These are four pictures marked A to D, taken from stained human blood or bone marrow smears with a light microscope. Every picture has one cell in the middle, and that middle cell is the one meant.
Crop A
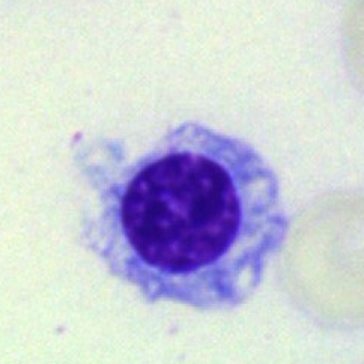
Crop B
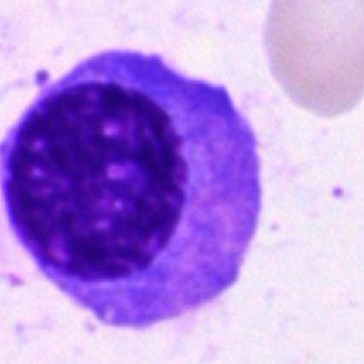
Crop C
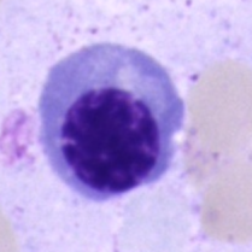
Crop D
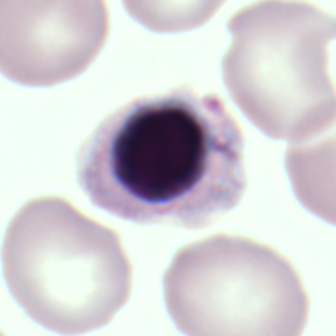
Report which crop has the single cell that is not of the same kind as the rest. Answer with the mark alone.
B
